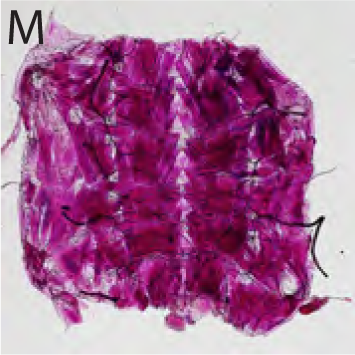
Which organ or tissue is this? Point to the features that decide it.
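A flattened, roughly square sheet of tissue opened out flat. Repeated elongated fibre bundles arranged in segmental rows on either side of a midline. Dark thin branching tubes cross the tissue.
Hence: muscle fillets.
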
